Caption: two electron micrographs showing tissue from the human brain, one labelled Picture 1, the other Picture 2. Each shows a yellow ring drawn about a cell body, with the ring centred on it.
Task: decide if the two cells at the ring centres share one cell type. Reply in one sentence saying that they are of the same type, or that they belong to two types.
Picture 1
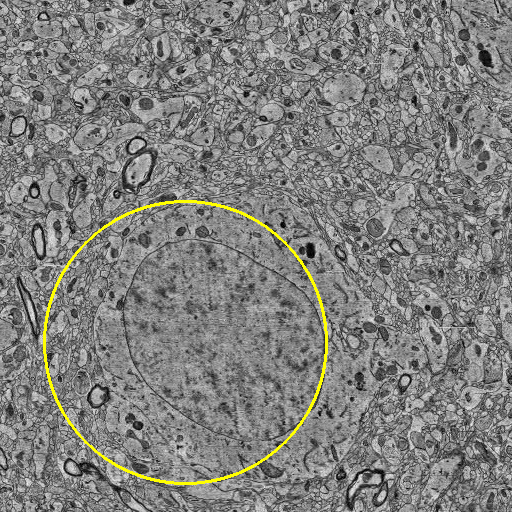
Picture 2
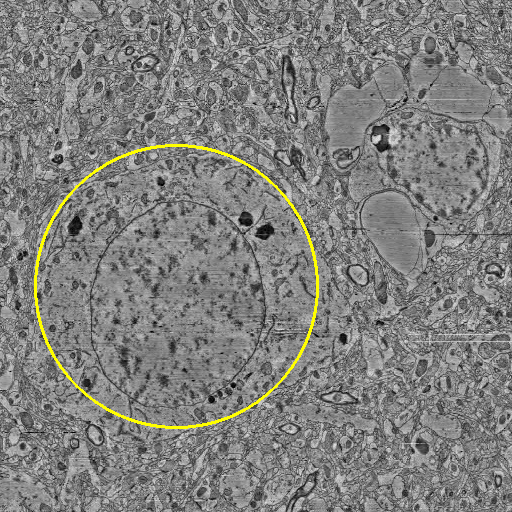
The cells at the ring centres in Picture 1 and Picture 2 are of the same type.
